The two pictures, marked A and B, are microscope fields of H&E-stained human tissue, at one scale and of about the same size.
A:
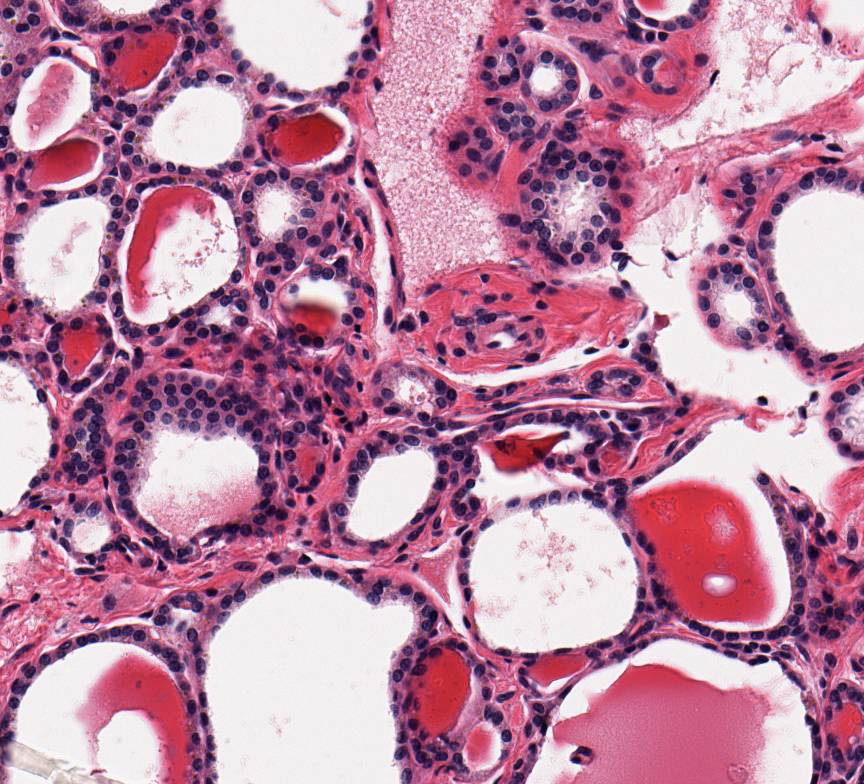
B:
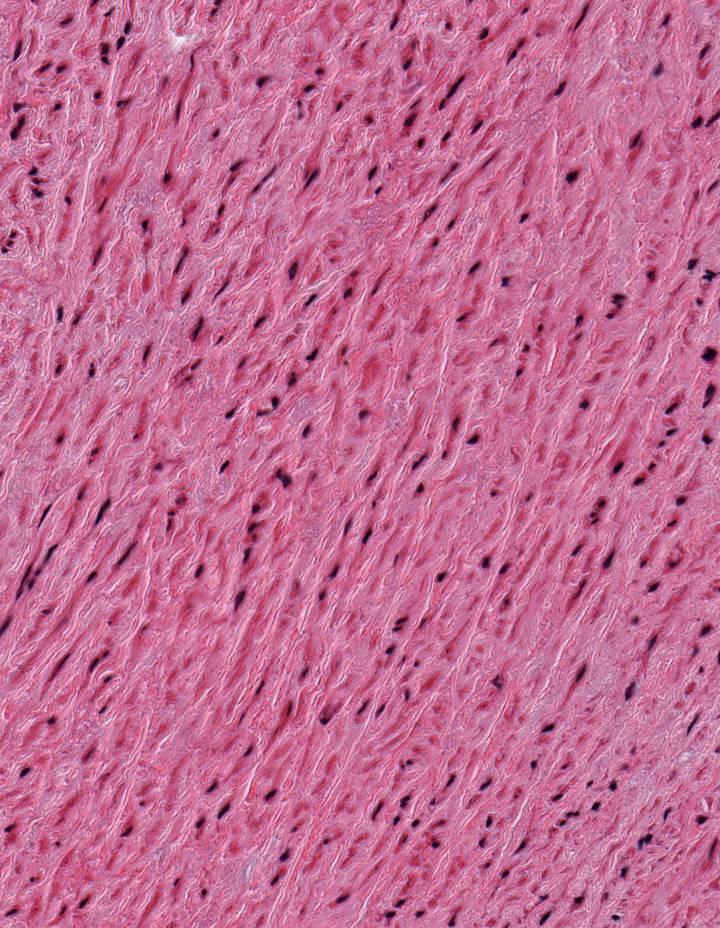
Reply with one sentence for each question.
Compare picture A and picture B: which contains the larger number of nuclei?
It is picture A that has more nuclei in it.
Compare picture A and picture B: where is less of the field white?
Unstained space takes up less of picture B than of picture A.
